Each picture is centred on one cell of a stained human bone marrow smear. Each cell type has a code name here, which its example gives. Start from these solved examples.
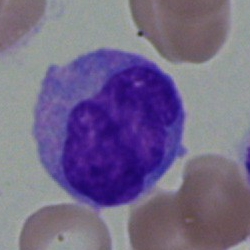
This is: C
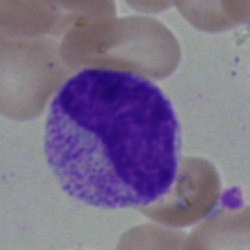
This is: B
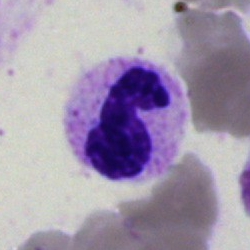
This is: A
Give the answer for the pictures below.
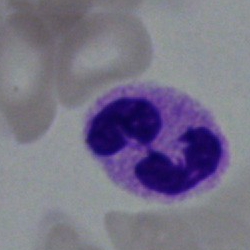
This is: A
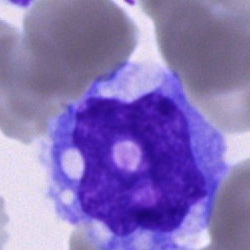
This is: C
